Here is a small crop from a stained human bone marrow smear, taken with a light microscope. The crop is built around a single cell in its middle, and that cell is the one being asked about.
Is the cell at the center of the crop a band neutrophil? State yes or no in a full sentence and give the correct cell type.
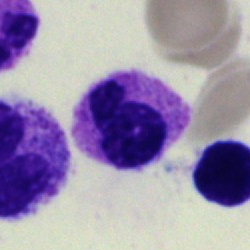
No, the cell in the middle is correctly named a segmented neutrophil, not a band neutrophil.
